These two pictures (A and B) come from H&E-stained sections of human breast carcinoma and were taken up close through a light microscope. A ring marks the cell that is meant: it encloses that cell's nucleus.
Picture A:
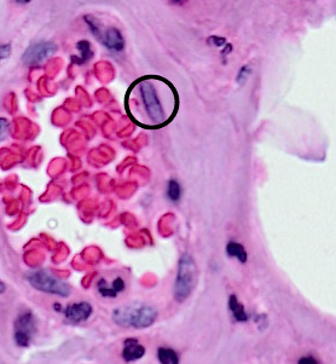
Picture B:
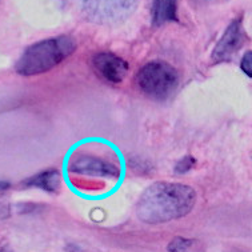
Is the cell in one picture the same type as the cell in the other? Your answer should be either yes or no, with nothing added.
yes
